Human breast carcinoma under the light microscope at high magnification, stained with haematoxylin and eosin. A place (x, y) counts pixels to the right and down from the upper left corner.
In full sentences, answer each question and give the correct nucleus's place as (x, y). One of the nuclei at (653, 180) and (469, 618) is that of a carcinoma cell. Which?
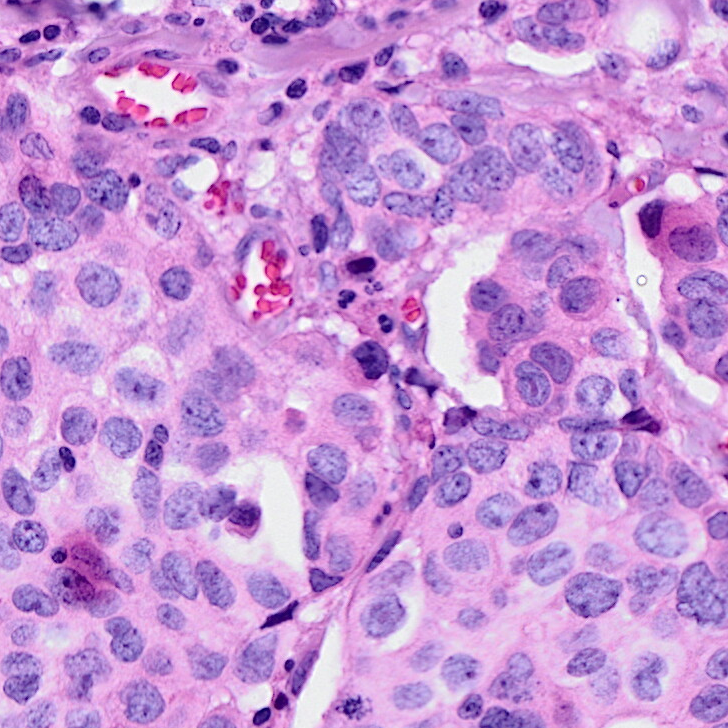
Of the two options, the nucleus at (469, 618) is the one that belongs to a carcinoma cell.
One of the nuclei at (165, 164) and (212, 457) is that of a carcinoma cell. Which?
Which one belongs to a carcinoma cell? The nucleus at (212, 457) does.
